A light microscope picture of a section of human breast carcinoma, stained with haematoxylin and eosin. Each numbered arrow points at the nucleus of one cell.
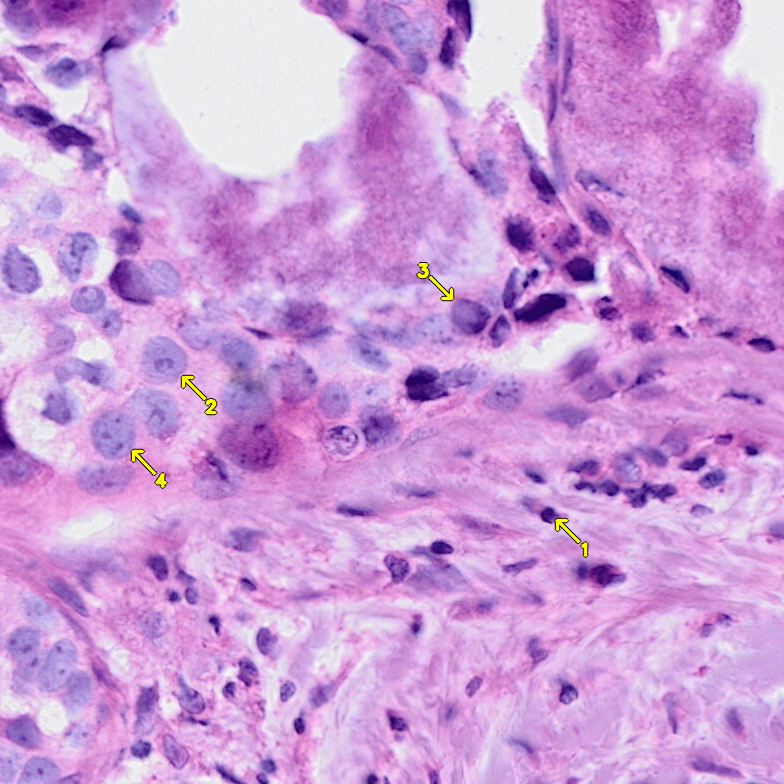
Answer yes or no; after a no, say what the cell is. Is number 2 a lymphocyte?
No, it is a carcinoma cell.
